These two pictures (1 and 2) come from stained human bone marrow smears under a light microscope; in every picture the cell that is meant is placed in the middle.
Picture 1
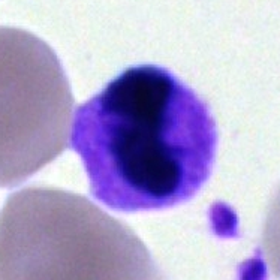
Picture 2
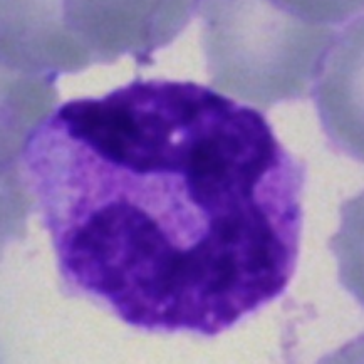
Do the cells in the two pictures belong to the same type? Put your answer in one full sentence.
Yes, both cells are segmented neutrophils.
